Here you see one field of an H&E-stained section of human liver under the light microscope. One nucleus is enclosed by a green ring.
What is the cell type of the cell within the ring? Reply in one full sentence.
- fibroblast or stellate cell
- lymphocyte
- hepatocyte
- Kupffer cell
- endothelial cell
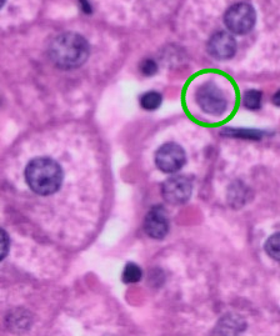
The cell type of the cell within the ring is that of a Kupffer cell.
